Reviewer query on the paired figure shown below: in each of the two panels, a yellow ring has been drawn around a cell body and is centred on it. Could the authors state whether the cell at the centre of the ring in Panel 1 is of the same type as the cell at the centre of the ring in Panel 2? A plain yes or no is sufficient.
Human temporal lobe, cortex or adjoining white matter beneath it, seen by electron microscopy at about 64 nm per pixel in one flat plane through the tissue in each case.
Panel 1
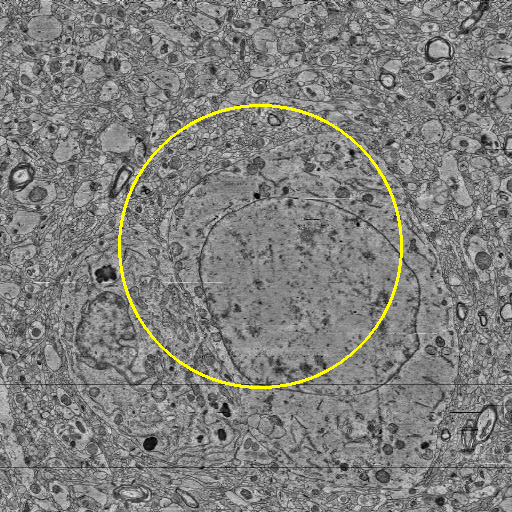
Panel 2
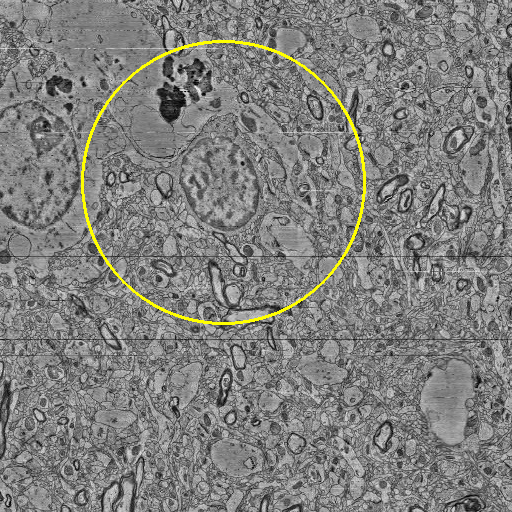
no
